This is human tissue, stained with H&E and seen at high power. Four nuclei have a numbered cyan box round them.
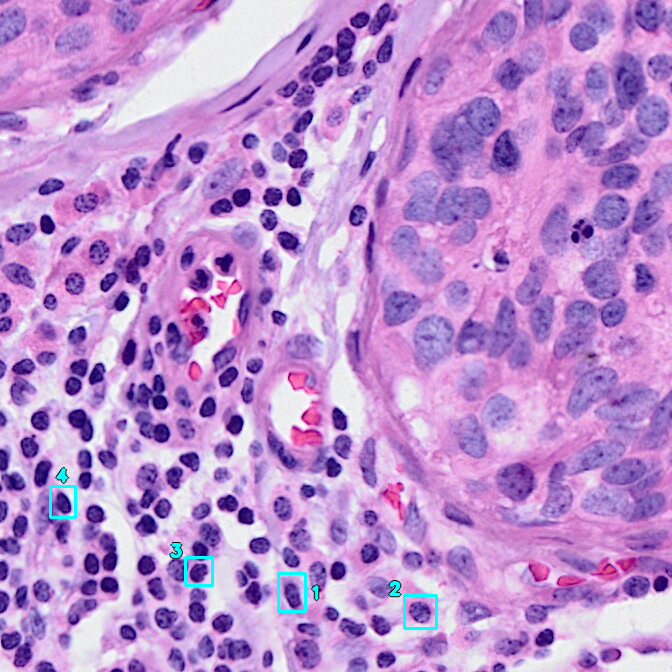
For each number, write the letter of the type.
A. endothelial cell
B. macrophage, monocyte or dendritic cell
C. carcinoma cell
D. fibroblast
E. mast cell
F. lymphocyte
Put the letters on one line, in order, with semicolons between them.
F; E; F; F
